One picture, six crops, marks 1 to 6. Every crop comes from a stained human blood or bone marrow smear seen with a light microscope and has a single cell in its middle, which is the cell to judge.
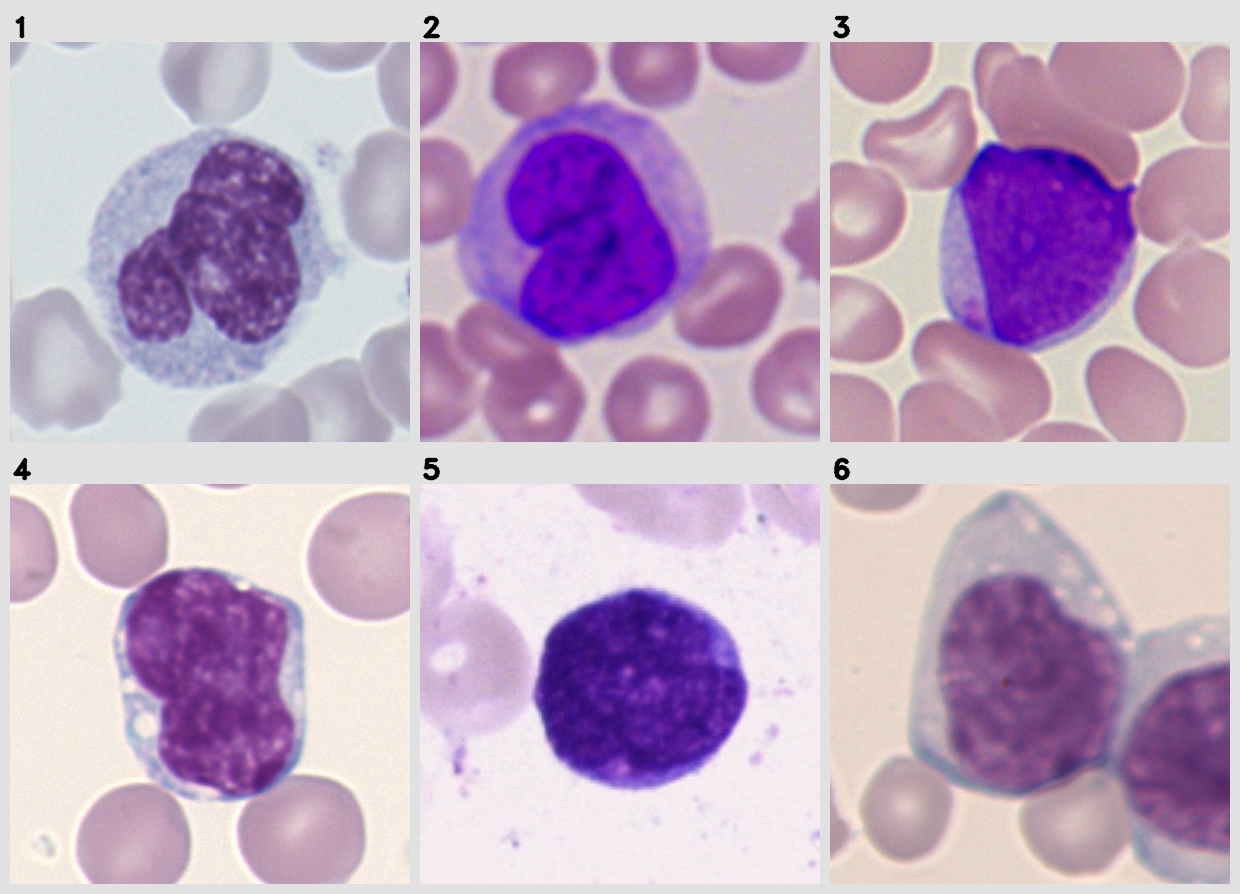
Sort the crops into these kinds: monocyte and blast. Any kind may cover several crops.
1: monocyte
2: monocyte
3: blast
4: blast
5: blast
6: blast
